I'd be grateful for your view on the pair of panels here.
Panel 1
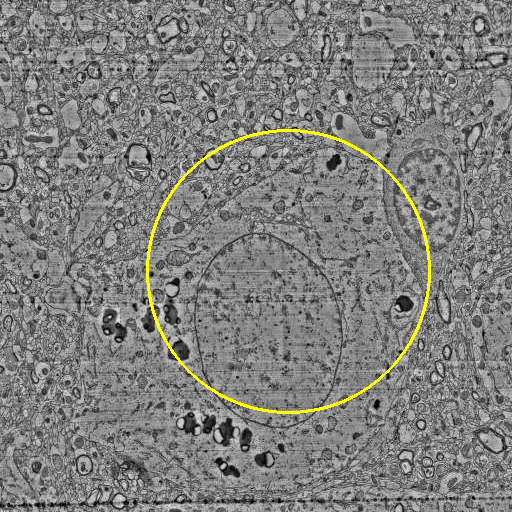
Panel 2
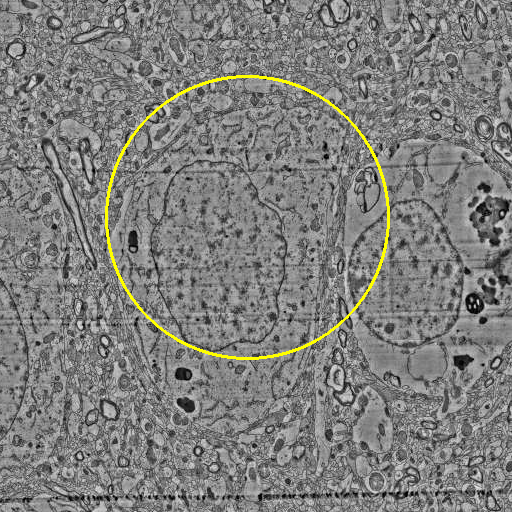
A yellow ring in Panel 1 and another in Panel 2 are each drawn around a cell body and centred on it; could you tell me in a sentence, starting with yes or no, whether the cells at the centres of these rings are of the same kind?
Yes, they are the same kind of cell.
